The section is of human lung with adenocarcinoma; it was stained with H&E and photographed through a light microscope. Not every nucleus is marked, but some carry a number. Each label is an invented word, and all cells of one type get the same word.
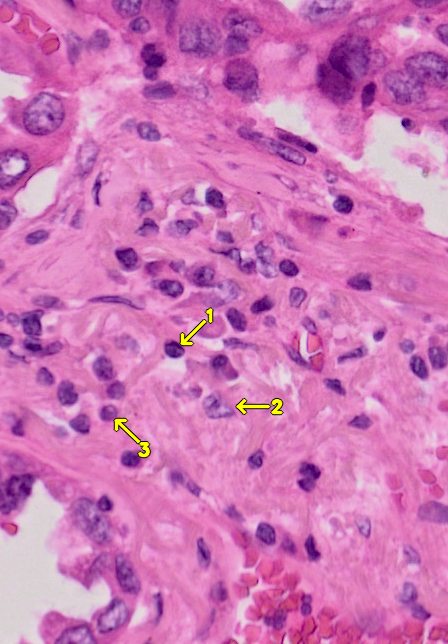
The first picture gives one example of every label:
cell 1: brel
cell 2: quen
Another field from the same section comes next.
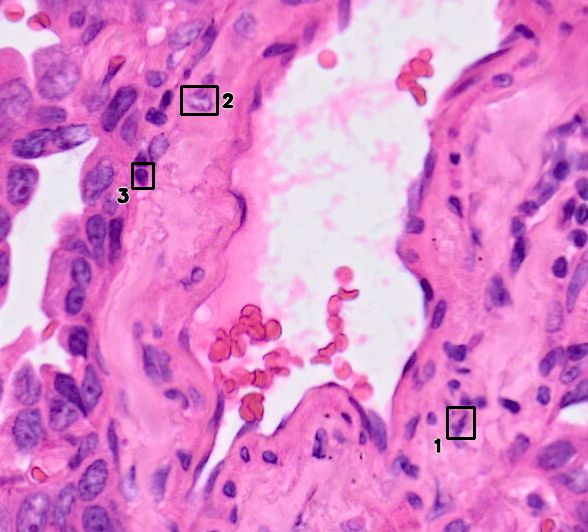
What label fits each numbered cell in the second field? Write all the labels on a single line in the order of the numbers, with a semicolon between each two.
quen; quen; brel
